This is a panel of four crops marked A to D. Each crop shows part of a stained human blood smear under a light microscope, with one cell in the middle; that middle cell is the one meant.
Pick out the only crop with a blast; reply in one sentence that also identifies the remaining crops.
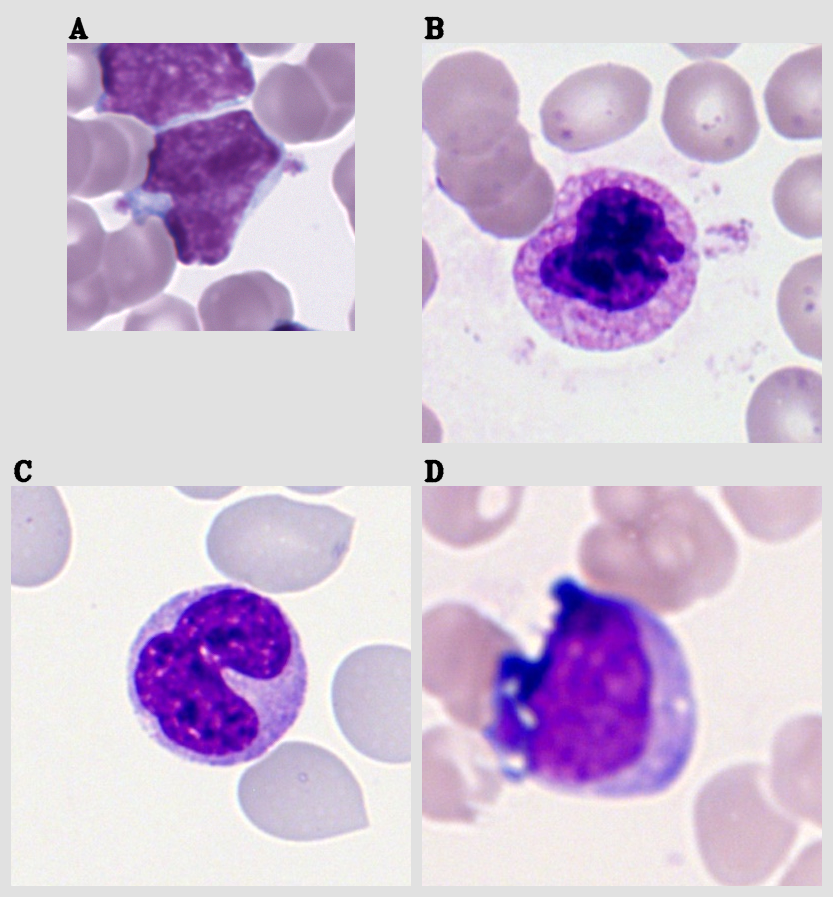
Crop D shows a blast, while in contrast crop A is a lymphocyte, crop B is a basophil and crop C is a monocyte.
